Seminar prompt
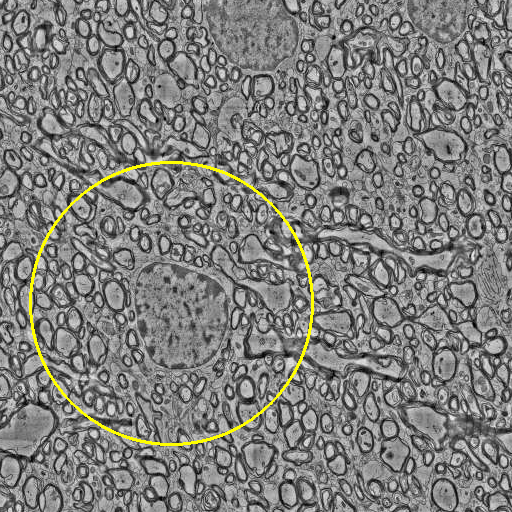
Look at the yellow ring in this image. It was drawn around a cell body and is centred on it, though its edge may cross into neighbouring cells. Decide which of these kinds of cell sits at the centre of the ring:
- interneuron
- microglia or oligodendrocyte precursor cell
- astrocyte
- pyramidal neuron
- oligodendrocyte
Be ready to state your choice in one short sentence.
The kind of cell at the ring's centre is a microglial cell or oligodendrocyte precursor cell.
